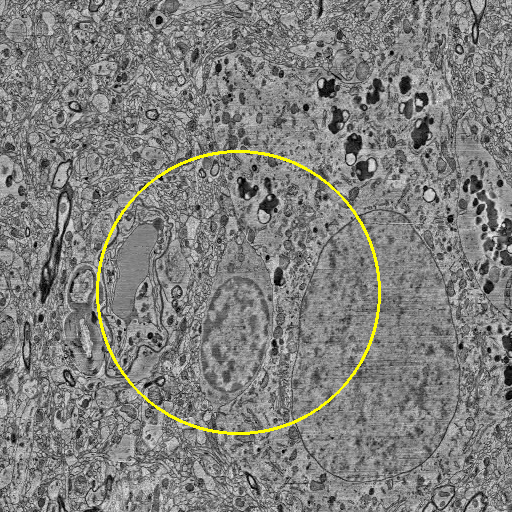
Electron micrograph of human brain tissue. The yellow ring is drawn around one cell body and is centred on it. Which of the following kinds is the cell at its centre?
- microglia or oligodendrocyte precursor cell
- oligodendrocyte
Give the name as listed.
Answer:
oligodendrocyte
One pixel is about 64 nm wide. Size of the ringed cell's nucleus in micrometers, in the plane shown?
In this plane, approximately 8 by 4 micrometers, and clearly longer than it is wide.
